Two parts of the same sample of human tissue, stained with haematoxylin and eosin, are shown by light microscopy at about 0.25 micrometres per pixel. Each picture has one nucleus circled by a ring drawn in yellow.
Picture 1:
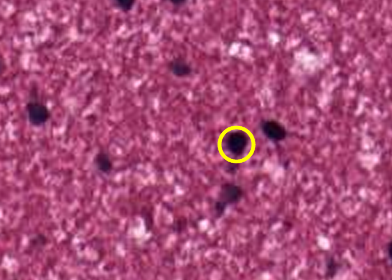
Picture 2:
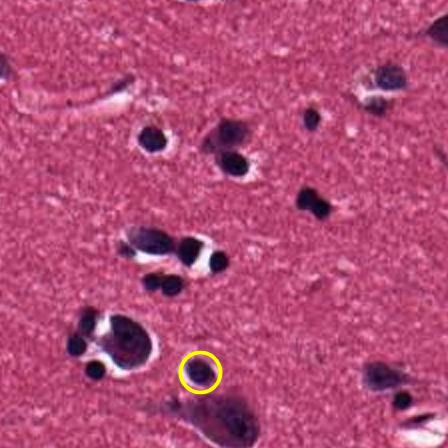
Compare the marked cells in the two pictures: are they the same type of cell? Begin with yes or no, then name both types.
Yes, both are oligodendrocytes.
